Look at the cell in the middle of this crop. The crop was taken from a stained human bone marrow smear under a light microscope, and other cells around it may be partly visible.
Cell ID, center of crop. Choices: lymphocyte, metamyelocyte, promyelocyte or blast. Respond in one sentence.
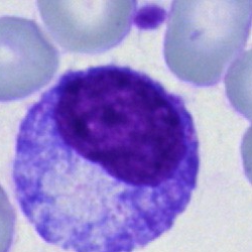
This crop's central cell is a promyelocyte.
